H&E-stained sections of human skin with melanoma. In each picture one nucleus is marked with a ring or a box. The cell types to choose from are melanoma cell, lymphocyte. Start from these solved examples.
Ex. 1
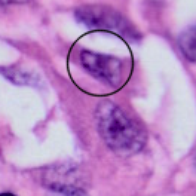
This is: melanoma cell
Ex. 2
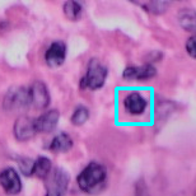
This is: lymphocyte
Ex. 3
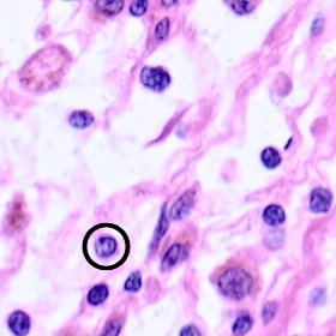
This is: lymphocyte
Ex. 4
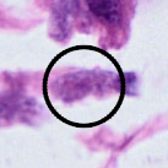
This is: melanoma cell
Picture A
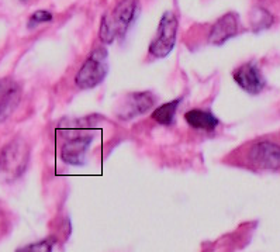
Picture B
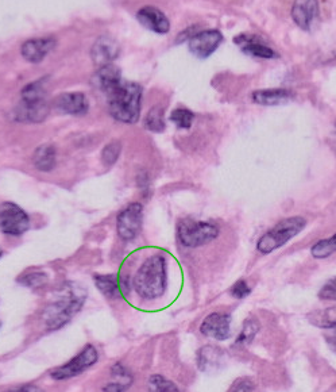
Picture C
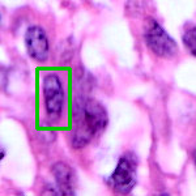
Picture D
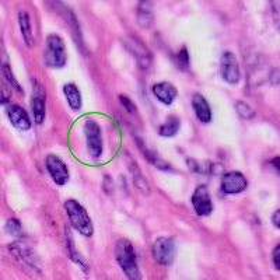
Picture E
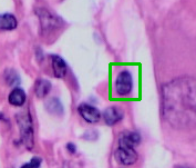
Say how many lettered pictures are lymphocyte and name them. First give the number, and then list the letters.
2: D, E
